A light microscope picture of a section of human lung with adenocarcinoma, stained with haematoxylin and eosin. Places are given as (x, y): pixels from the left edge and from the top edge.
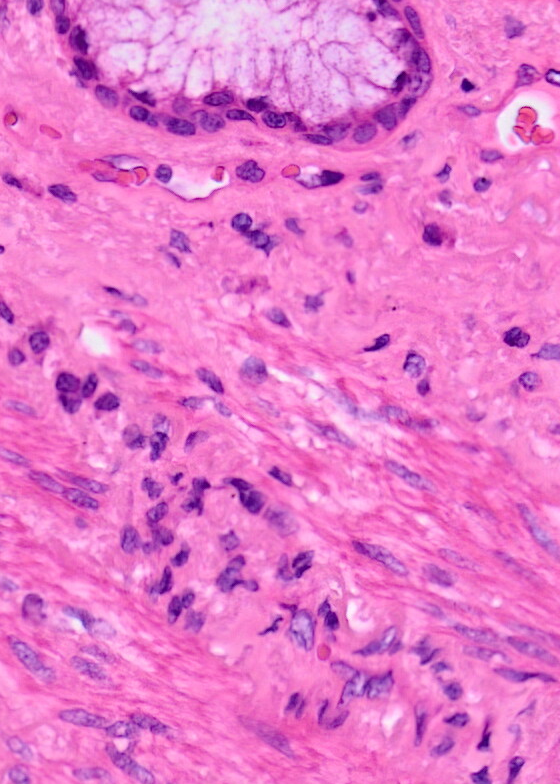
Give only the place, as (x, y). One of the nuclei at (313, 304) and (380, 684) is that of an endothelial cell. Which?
(380, 684)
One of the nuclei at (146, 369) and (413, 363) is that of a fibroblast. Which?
(413, 363)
